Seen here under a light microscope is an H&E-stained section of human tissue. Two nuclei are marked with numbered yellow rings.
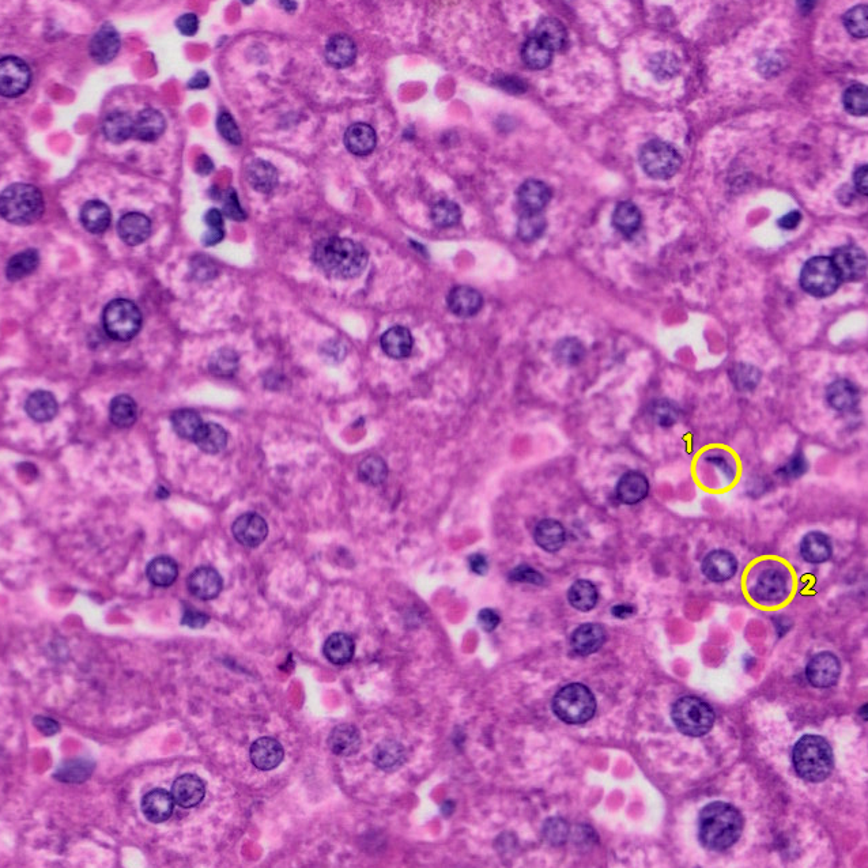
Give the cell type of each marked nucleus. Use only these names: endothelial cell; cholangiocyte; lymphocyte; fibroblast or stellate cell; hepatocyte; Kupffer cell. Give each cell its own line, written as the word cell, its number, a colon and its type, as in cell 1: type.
cell 1: endothelial cell
cell 2: hepatocyte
